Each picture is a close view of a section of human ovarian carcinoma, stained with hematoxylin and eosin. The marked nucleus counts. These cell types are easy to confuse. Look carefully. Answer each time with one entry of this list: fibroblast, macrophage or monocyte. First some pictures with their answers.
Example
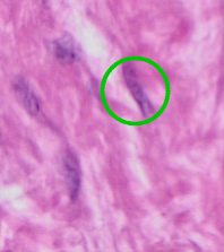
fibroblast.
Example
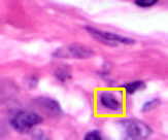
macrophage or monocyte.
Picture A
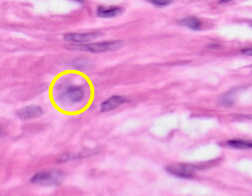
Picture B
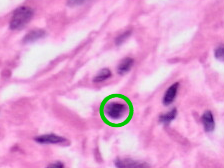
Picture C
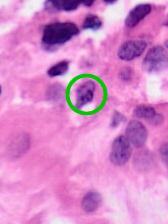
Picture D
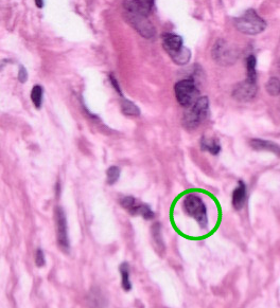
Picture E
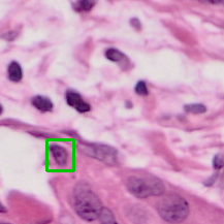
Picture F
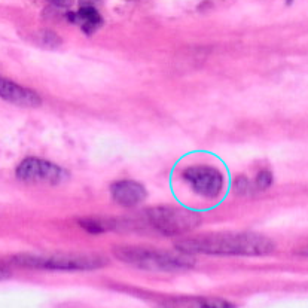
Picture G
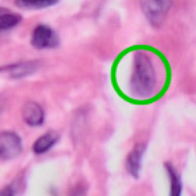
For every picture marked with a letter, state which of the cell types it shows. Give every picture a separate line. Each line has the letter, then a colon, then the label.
A: fibroblast.
B: fibroblast.
C: macrophage or monocyte.
D: macrophage or monocyte.
E: macrophage or monocyte.
F: macrophage or monocyte.
G: fibroblast.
